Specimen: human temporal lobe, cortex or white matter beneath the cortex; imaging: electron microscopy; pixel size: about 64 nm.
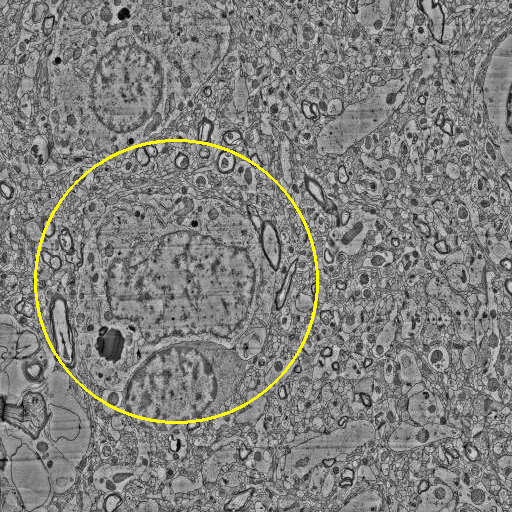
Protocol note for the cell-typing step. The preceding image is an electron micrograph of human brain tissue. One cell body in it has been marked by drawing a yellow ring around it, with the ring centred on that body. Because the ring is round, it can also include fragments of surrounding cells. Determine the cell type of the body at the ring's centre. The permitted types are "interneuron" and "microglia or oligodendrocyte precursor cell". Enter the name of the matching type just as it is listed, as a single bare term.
interneuron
